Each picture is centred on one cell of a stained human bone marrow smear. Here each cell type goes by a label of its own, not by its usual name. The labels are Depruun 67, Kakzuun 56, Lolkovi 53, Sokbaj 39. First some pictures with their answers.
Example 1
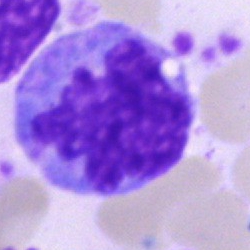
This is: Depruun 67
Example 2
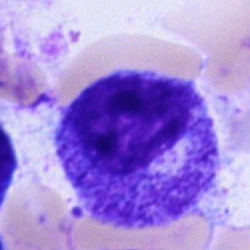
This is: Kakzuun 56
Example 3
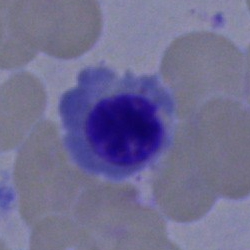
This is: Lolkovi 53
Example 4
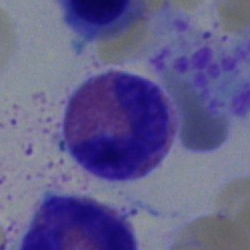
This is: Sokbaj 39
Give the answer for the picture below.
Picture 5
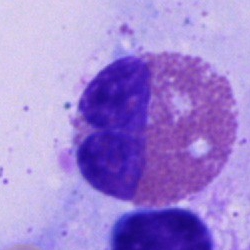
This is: Sokbaj 39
